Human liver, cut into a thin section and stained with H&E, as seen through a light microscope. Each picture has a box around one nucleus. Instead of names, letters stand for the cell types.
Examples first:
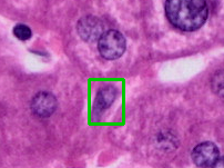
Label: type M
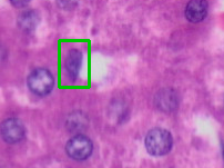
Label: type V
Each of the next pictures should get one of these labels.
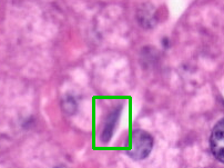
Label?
type M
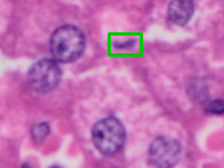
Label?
type V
